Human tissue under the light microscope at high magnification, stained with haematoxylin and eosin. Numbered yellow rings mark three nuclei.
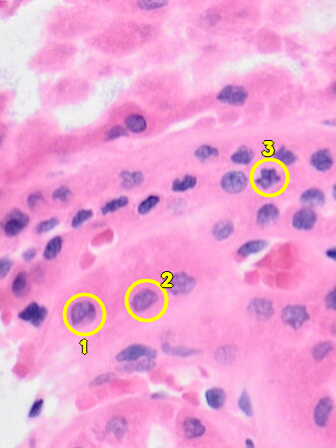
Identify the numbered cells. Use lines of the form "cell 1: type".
cell 1: proximal tubule cell
cell 2: proximal tubule cell
cell 3: loop of Henle or distal tubule cell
